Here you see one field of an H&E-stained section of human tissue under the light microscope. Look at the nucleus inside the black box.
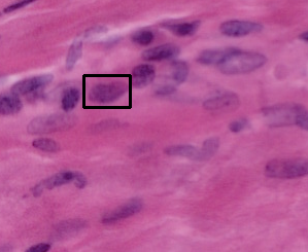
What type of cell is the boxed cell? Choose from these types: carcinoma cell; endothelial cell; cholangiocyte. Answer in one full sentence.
Microscopically, the boxed cell is categorized as an endothelial cell.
